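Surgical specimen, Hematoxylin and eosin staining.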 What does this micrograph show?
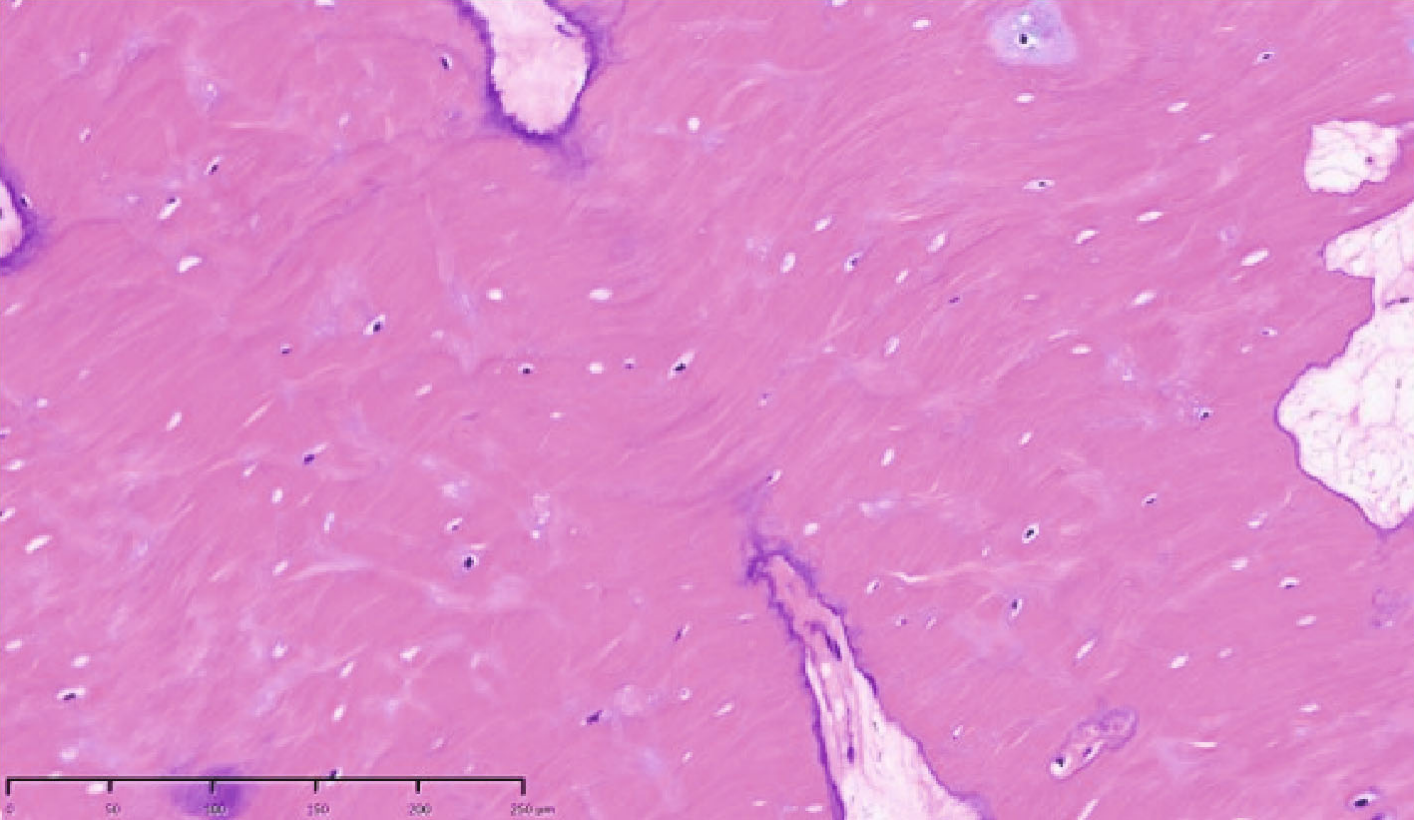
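Dense cortical bone fills most of the field as a solid pink, eosinophilic matrix traversed by fine wavy lines that run roughly parallel, giving a layered, laminar appearance. Scattered through it are small osteocytes, each a small dark-purple nucleus lying in a clear, lens-shaped lacuna; many lacunae appear empty in this plane. The nuclei are small and uniform. At the edges of the field lie a few pale, clear spaces bordered by a thin purple rim, some holding loose pale tissue.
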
